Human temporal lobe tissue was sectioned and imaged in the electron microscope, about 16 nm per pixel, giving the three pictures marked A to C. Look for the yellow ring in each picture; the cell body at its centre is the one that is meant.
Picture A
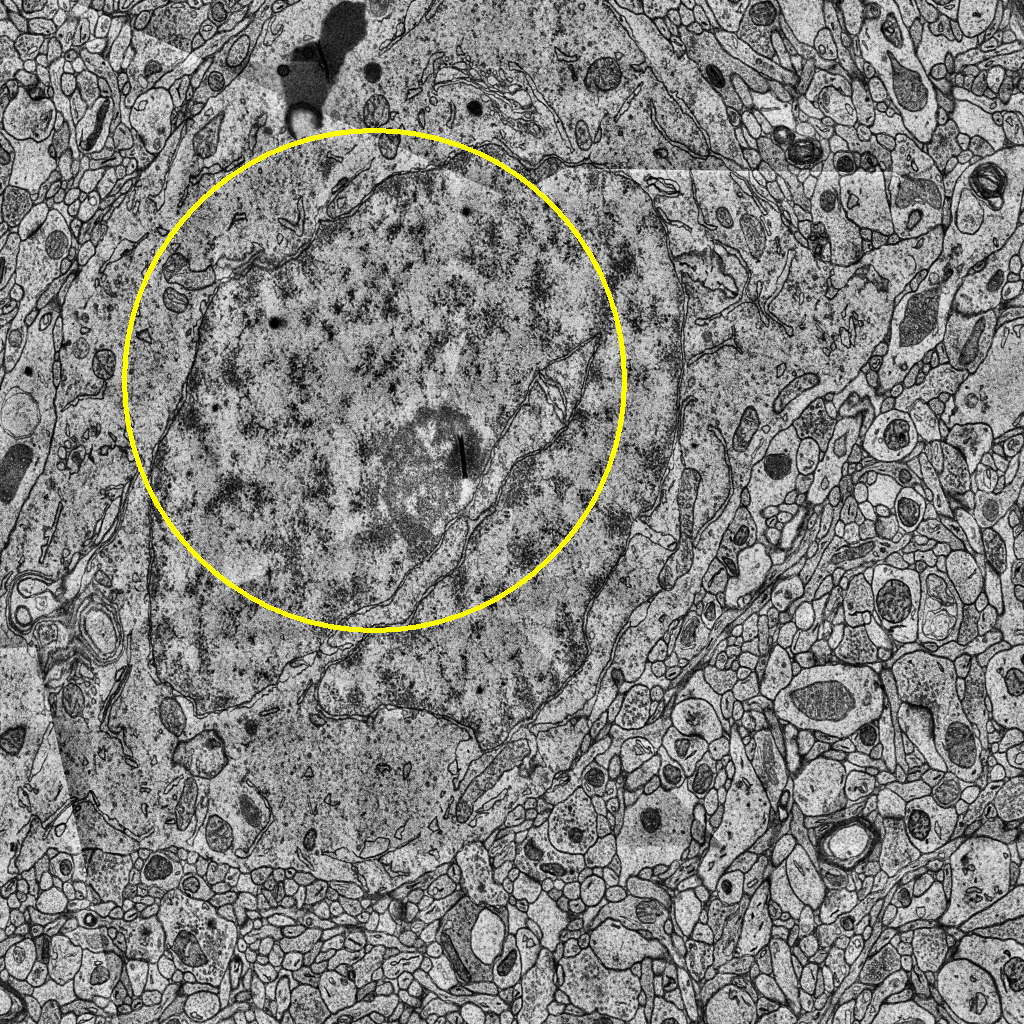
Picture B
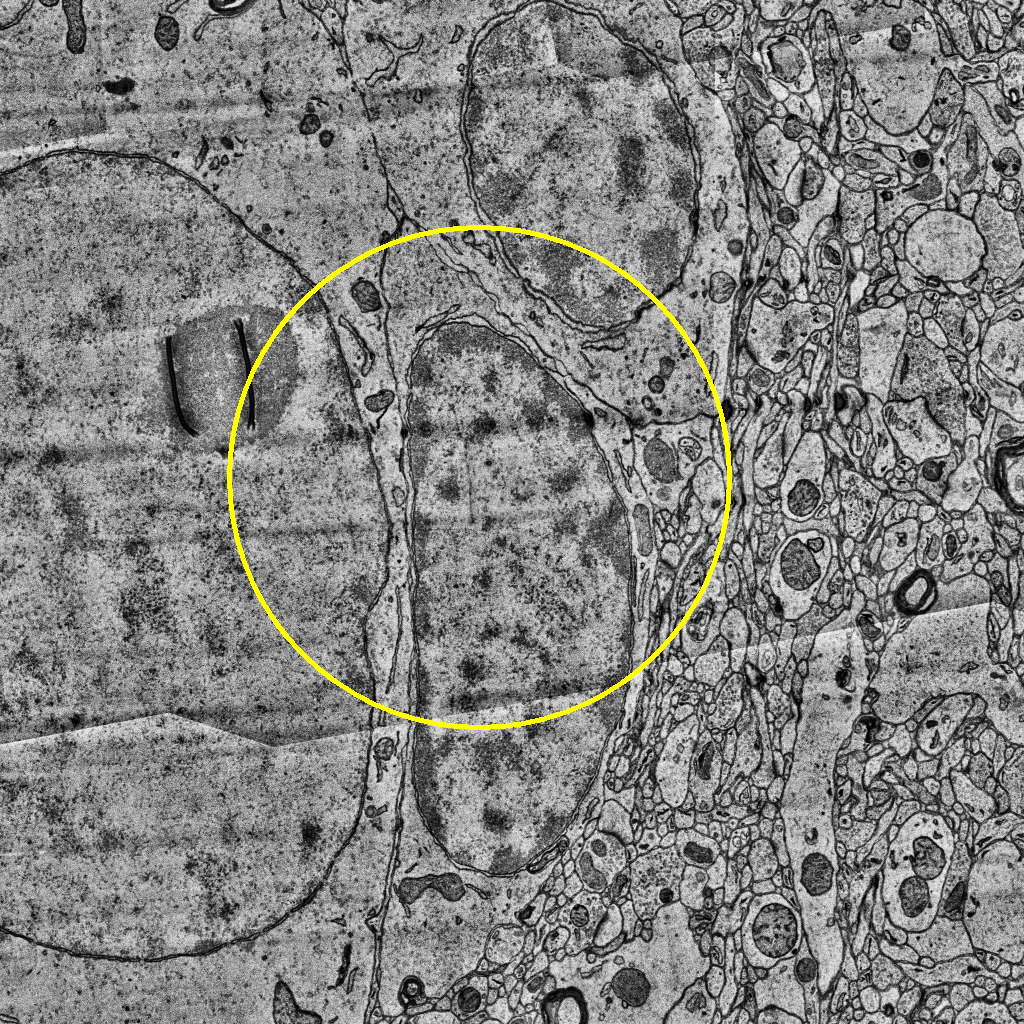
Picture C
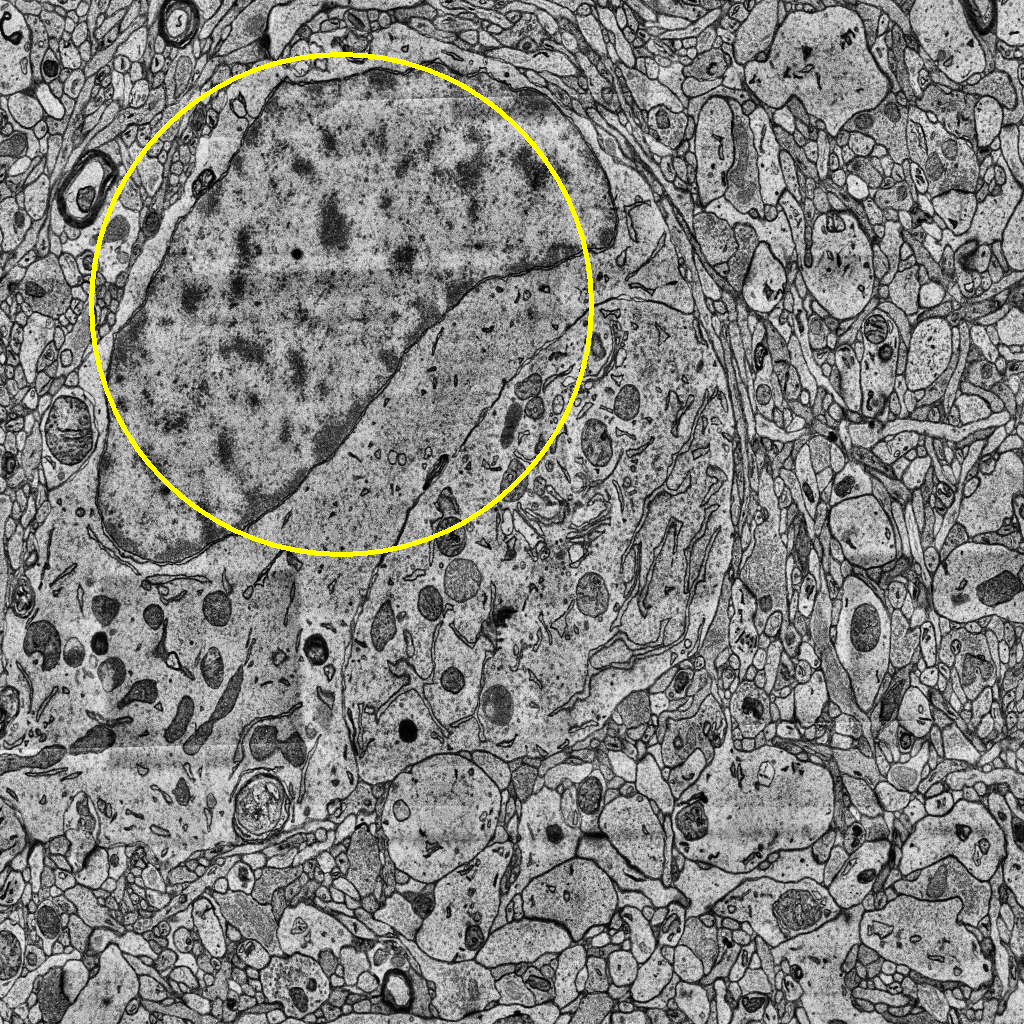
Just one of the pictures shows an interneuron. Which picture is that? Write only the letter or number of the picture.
A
